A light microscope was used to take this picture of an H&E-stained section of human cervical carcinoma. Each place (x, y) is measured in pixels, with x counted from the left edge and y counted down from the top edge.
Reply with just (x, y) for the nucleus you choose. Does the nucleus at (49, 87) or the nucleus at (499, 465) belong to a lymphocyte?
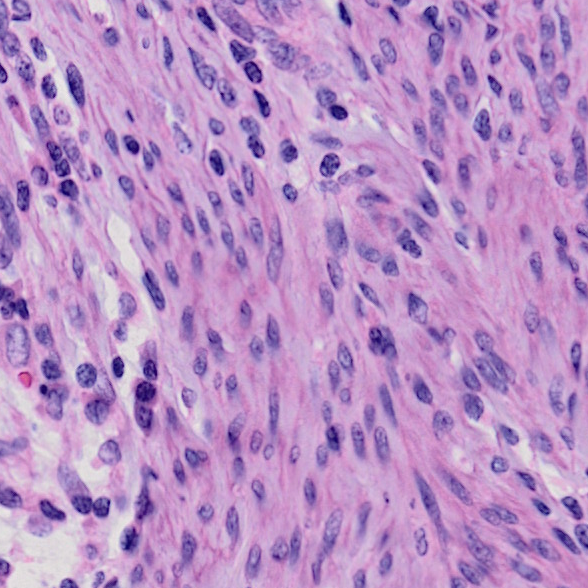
(49, 87)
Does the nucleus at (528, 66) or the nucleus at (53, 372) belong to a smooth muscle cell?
(528, 66)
